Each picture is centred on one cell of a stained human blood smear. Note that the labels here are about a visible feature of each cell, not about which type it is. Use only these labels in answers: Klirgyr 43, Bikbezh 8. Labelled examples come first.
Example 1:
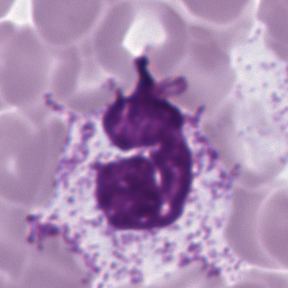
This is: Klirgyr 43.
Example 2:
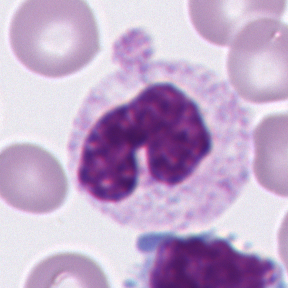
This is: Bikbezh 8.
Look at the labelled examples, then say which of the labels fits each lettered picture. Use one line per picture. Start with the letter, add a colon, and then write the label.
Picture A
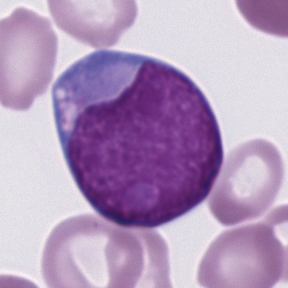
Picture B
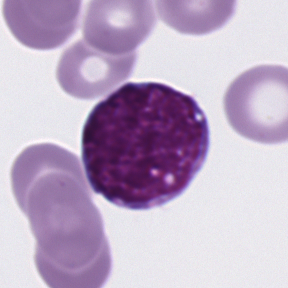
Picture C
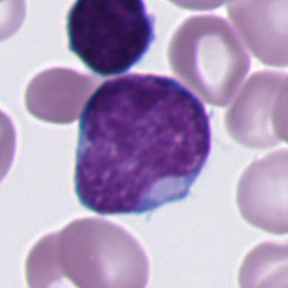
A: Bikbezh 8.
B: Bikbezh 8.
C: Klirgyr 43.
